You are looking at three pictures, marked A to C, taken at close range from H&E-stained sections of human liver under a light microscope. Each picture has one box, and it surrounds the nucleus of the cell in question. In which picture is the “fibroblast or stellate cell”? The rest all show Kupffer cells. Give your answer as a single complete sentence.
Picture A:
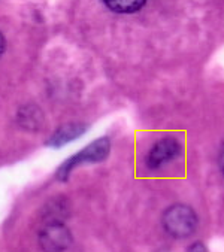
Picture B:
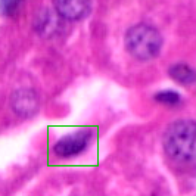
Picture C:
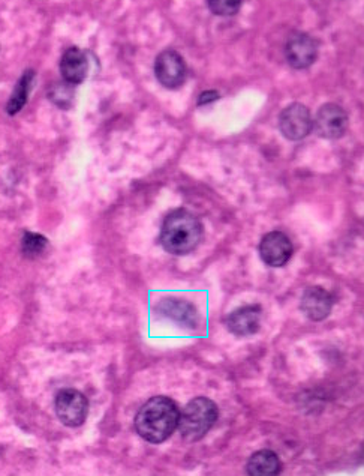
Picture A is the one that shows the “fibroblast or stellate cell”.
